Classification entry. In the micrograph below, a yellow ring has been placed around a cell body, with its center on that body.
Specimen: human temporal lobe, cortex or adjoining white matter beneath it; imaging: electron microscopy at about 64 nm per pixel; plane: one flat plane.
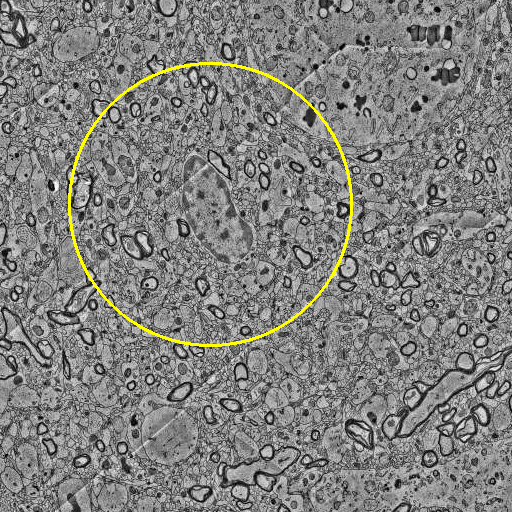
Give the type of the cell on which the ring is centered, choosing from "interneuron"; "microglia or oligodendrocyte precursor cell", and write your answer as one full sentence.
The cell body at the center of the yellow ring belongs to a microglial cell or oligodendrocyte precursor cell.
